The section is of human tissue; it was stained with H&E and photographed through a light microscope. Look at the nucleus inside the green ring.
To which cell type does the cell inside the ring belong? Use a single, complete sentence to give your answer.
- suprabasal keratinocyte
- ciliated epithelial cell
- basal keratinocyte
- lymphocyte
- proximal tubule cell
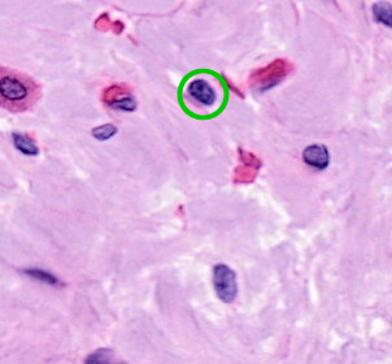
In this tissue section, the cell inside the ring is to be classed as a lymphocyte.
